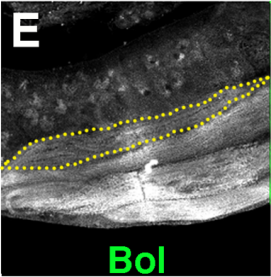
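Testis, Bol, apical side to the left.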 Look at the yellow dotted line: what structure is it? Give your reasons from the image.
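The dotted line encloses a long, narrow band running across the panel. Other similar long bands run parallel to it below. On this evidence: spermatid cyst.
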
